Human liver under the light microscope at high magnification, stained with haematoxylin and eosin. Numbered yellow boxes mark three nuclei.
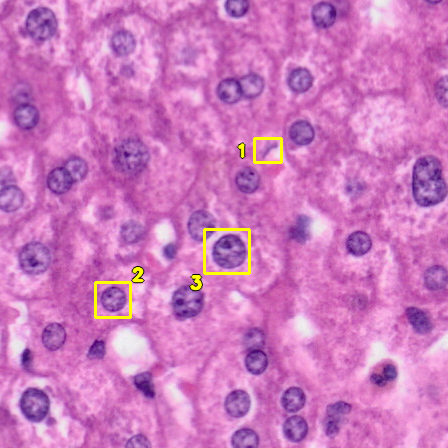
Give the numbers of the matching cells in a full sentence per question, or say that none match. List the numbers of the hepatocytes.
Into the category of hepatocytes fall the cells numbered 2 and 3.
